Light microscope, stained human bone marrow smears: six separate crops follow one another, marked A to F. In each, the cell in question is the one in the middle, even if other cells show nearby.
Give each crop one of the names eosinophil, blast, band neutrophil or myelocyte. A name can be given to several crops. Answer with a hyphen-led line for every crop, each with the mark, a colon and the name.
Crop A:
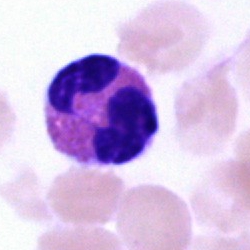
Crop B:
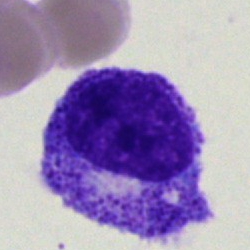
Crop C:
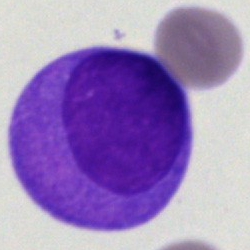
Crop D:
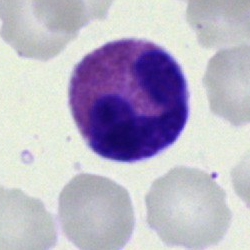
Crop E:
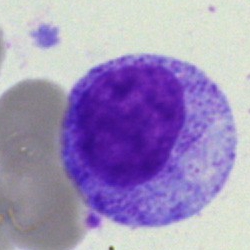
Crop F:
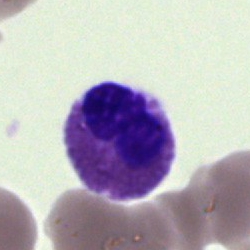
- A: eosinophil
- B: myelocyte
- C: blast
- D: eosinophil
- E: myelocyte
- F: eosinophil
